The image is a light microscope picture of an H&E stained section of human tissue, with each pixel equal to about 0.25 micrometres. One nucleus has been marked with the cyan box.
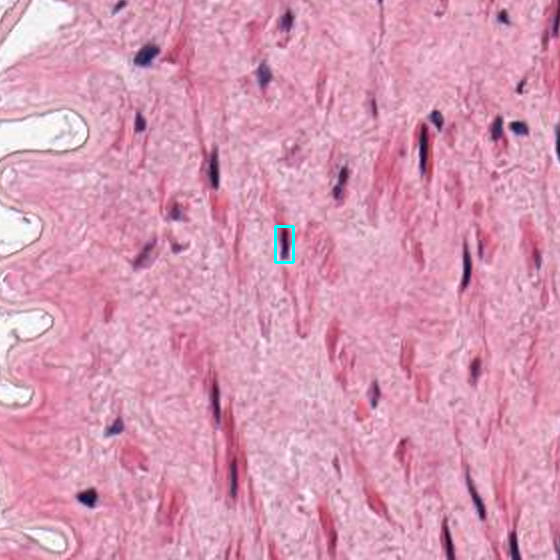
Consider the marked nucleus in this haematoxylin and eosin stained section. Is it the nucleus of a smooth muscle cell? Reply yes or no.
yes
